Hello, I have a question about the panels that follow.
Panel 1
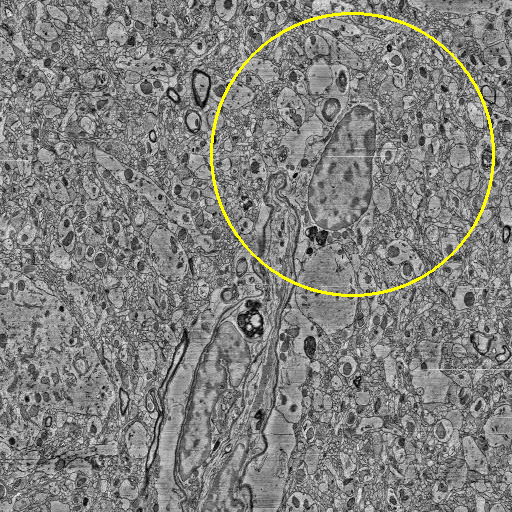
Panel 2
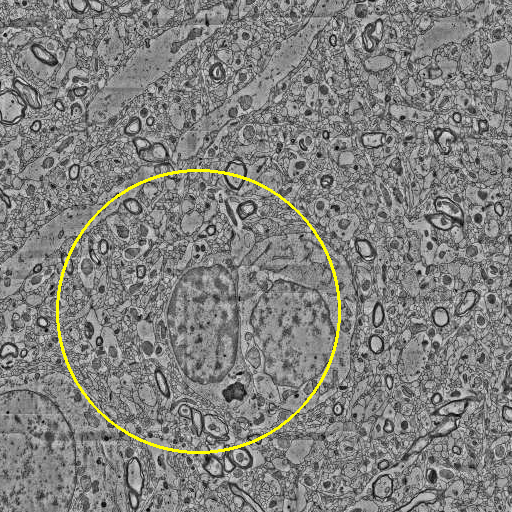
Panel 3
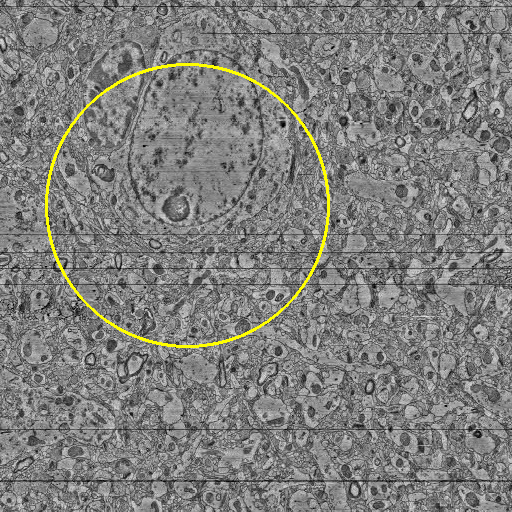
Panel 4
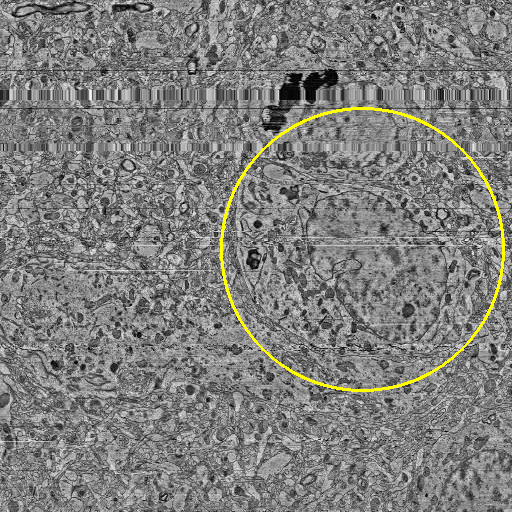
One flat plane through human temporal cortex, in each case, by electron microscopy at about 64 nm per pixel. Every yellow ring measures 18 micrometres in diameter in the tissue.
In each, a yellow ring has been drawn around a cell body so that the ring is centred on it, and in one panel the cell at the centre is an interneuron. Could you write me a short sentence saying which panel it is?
It is Panel 4.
